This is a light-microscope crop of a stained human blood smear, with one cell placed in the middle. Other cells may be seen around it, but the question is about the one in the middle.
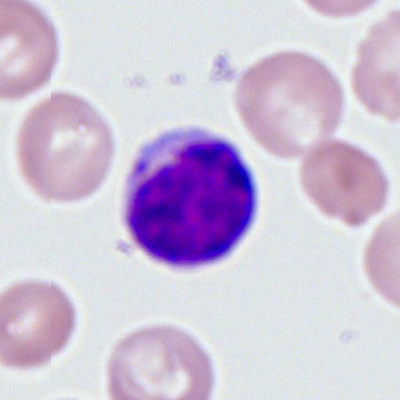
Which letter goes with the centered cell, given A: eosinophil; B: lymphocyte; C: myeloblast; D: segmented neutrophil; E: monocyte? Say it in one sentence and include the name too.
In this crop the middle cell is a lymphocyte, so option B is the correct answer.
